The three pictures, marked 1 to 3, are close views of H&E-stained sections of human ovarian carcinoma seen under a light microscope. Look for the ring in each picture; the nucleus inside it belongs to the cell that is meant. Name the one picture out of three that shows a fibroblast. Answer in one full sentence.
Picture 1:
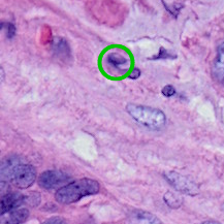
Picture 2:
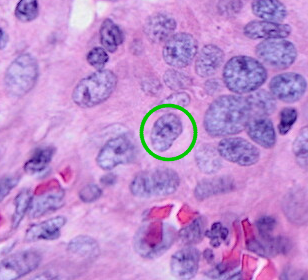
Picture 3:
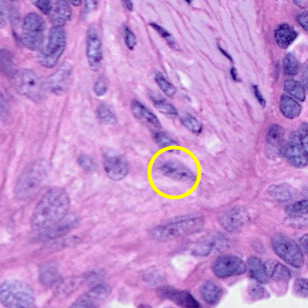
Picture 3 shows the fibroblast.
